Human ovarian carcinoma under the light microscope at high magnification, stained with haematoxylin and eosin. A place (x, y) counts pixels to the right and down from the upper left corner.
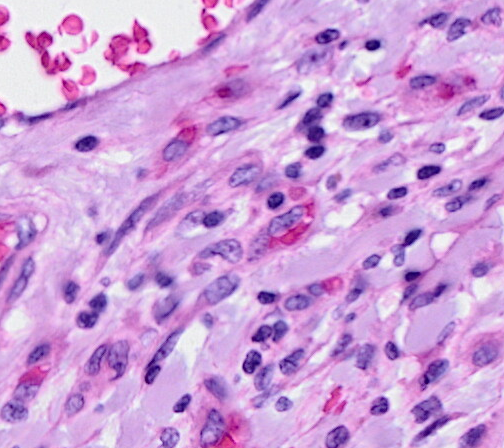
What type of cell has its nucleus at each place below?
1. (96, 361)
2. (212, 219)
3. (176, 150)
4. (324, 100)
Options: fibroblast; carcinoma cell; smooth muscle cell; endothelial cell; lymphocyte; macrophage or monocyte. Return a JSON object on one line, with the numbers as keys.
{"1": "endothelial cell", "2": "lymphocyte", "3": "endothelial cell", "4": "lymphocyte"}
